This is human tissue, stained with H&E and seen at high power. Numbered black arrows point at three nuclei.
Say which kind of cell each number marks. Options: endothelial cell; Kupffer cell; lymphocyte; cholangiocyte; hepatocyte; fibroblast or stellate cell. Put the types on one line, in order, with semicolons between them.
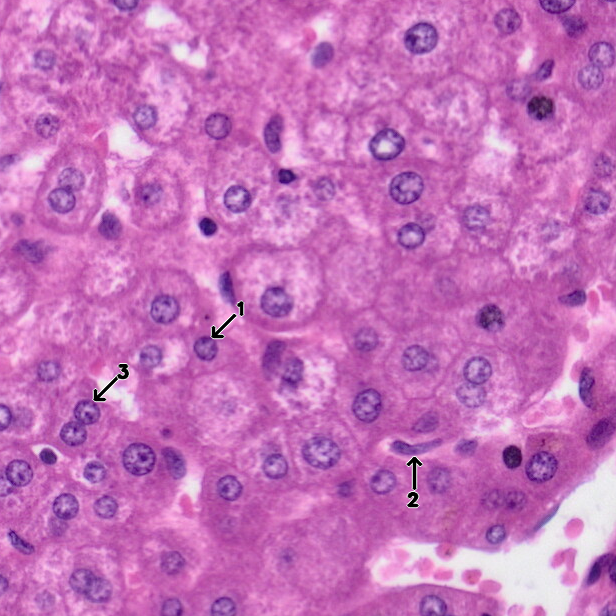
hepatocyte; Kupffer cell; hepatocyte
